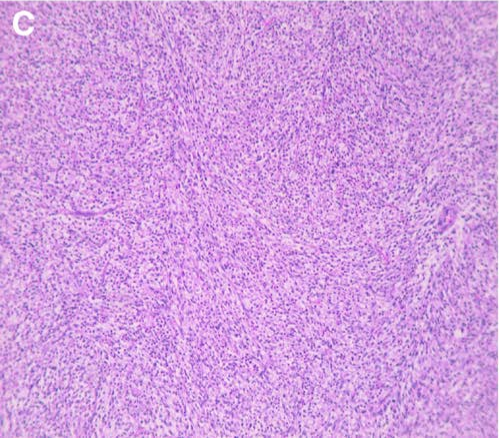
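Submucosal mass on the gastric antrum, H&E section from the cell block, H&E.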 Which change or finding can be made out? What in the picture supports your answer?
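Densely cellular tissue with no glands or normal layered architecture. Elongated cells arranged in sweeping bundles and sheets. Purple nuclei crowded across the whole field. That points to this answer: sheets and clusters of spindled to epithelioid cells.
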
